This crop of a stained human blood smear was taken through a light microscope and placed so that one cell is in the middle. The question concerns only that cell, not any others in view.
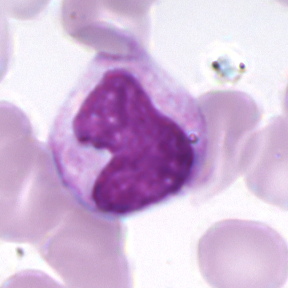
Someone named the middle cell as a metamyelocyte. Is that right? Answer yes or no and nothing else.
no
